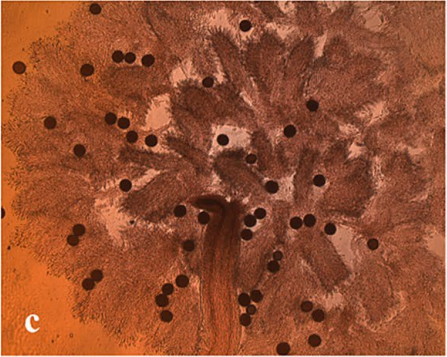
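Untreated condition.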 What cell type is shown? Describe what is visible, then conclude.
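Pollens. Many small dark spherical grains of uniform size are scattered over the tissue. The grains lie on a mass of radiating finger-like papillae around a central strand.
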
